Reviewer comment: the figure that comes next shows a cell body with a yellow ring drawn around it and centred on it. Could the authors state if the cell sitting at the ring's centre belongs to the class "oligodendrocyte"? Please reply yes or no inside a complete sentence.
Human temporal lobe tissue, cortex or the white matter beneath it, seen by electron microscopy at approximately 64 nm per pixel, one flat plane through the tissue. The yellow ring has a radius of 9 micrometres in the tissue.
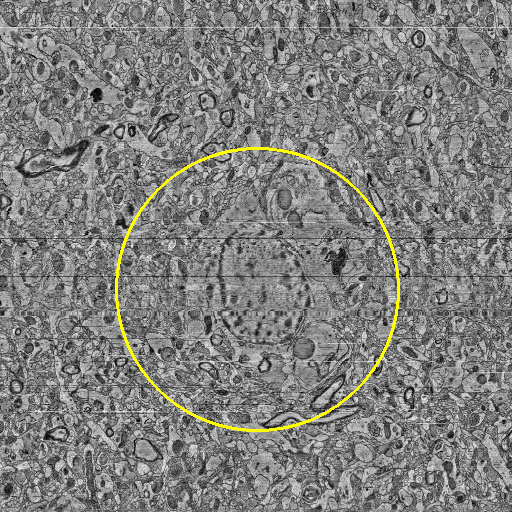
No, in the figure, the cell at the ring's centre belongs to a different class.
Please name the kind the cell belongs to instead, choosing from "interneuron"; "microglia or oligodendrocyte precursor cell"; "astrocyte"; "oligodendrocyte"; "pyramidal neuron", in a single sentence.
The ring's central cell is an astrocyte instead.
